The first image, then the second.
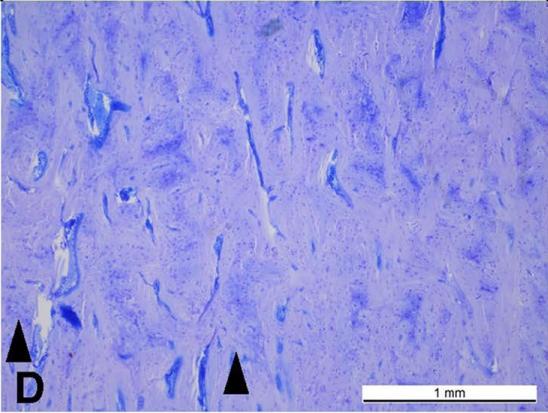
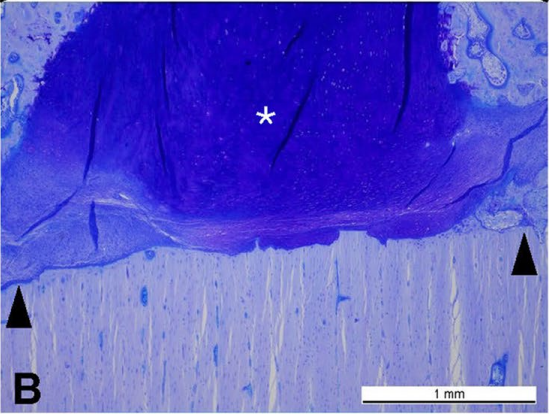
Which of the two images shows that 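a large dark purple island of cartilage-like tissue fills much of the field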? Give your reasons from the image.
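The second image. Second image: a large intensely dark purple island occupies the upper middle of the field above pale bone.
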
